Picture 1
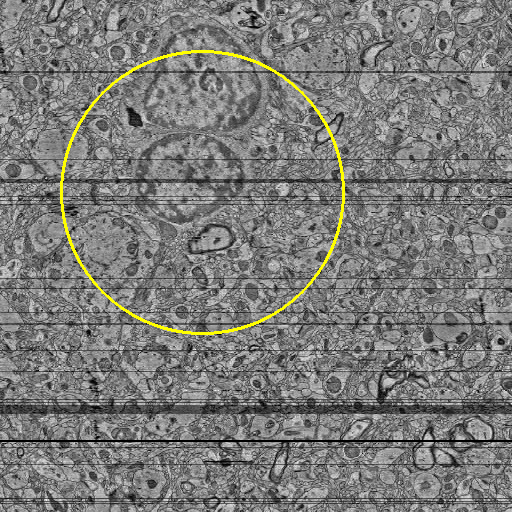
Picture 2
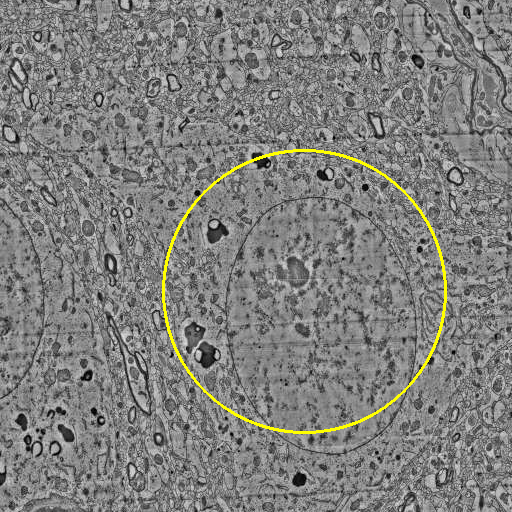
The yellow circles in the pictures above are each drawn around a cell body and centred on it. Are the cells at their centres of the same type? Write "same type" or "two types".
two types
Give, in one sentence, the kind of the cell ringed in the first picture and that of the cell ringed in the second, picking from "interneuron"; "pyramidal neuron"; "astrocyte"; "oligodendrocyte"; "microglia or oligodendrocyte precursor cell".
For the first picture it is an oligodendrocyte; for the second, a pyramidal neuron.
